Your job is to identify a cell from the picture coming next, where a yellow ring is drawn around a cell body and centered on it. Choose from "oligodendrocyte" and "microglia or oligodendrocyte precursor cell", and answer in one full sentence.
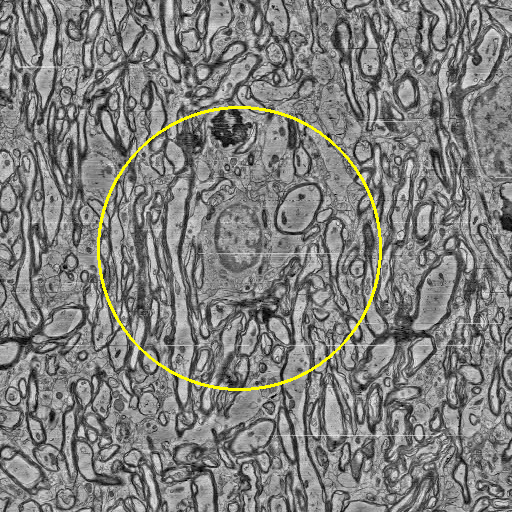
Centered in the yellow ring of the picture is the body of an oligodendrocyte.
